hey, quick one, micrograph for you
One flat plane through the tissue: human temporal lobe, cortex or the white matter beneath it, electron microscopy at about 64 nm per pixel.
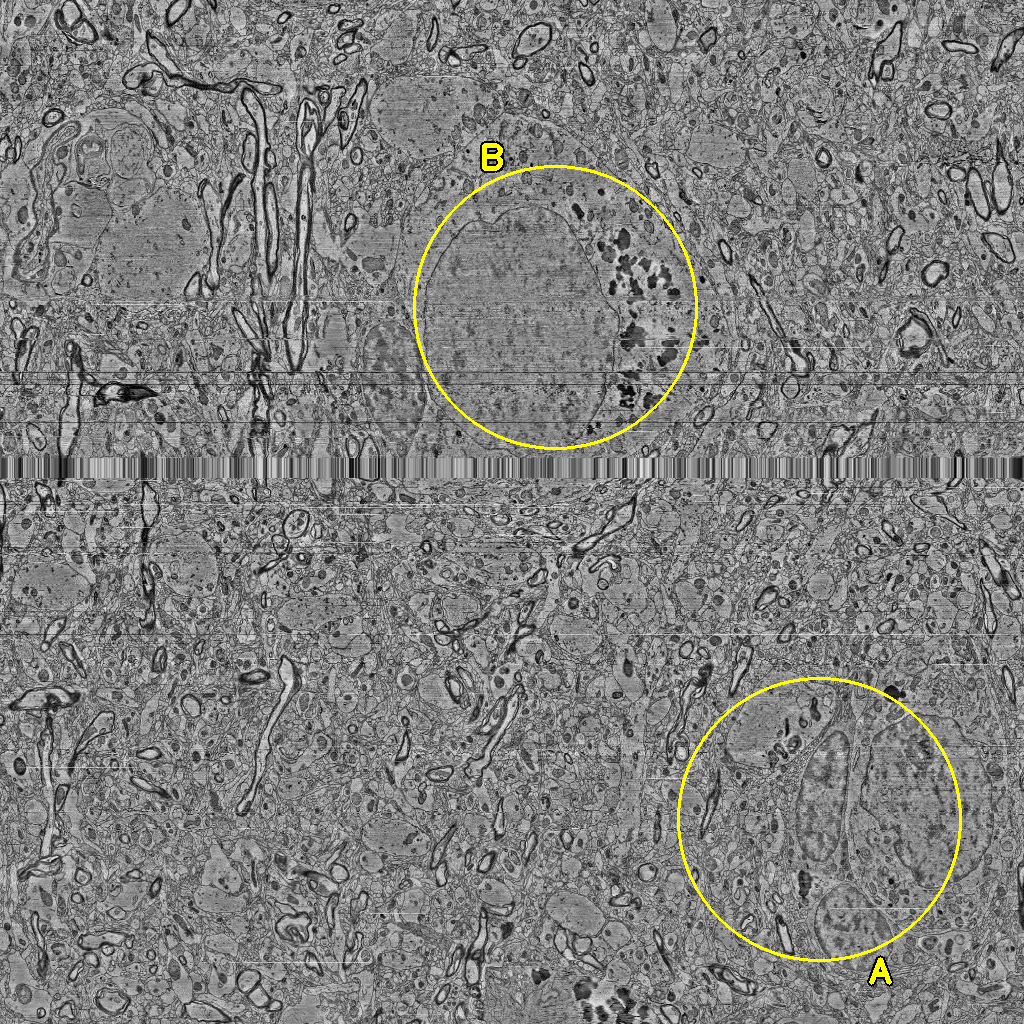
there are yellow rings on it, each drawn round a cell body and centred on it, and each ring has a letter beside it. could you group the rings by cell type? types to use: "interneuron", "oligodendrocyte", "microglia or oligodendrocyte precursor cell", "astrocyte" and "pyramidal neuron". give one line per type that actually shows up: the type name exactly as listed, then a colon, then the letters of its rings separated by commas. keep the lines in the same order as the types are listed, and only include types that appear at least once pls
oligodendrocyte: A
pyramidal neuron: B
